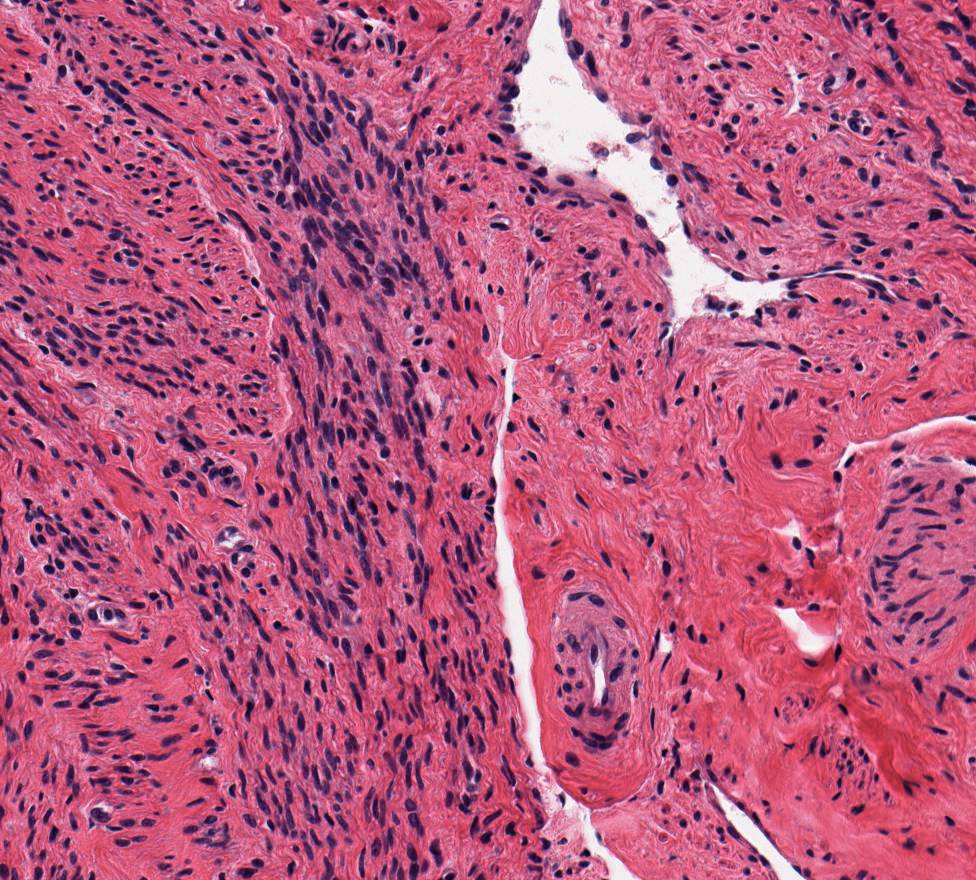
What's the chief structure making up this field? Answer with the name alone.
smooth muscle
